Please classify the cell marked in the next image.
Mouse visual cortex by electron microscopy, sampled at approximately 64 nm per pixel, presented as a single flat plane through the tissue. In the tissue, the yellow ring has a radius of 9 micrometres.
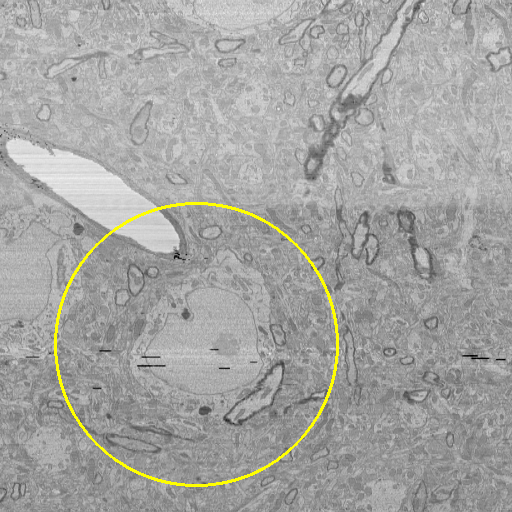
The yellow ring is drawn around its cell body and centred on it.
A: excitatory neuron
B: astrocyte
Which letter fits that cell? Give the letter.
A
